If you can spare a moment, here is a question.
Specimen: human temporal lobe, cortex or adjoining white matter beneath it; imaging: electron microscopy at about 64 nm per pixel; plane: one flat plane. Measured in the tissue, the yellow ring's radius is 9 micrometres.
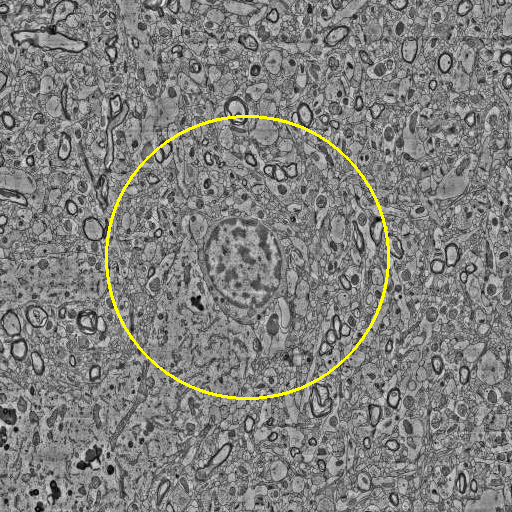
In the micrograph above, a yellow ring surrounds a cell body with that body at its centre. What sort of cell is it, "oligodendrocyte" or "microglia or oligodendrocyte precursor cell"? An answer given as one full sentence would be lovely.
Centred inside the yellow ring, the cell body shown belongs to an oligodendrocyte in this micrograph.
